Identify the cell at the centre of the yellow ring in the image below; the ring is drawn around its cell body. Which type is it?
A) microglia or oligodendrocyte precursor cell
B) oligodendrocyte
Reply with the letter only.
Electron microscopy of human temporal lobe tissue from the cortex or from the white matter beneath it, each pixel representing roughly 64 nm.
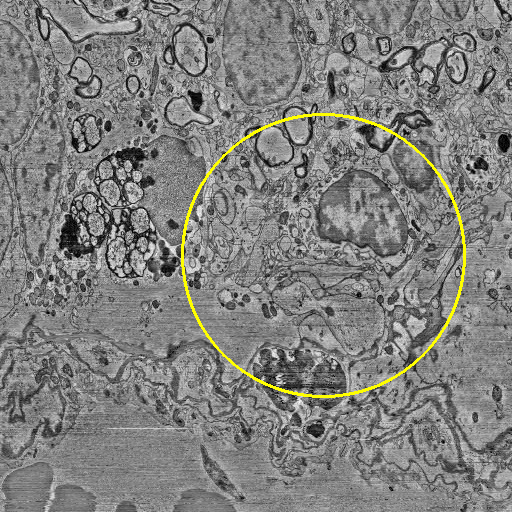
A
